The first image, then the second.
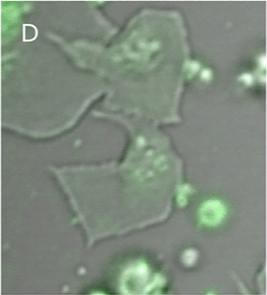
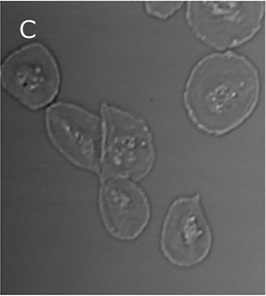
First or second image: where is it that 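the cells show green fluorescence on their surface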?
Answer: The first image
